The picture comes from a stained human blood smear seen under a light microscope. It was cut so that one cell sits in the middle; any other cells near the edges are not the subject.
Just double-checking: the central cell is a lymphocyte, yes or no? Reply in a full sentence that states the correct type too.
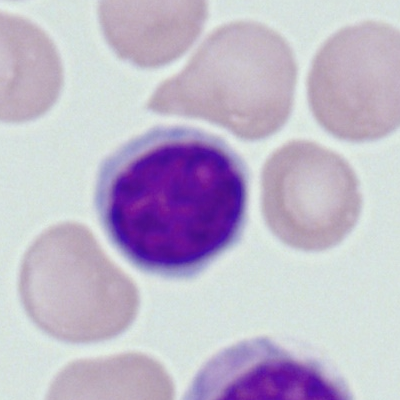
Yes, the crop is centred on a lymphocyte.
